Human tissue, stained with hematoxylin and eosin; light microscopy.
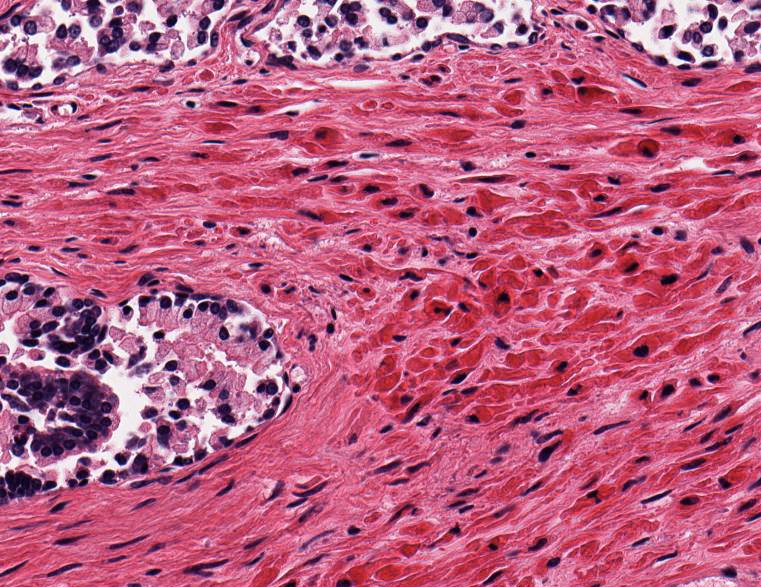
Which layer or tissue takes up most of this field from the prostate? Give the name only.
fibromuscular stroma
